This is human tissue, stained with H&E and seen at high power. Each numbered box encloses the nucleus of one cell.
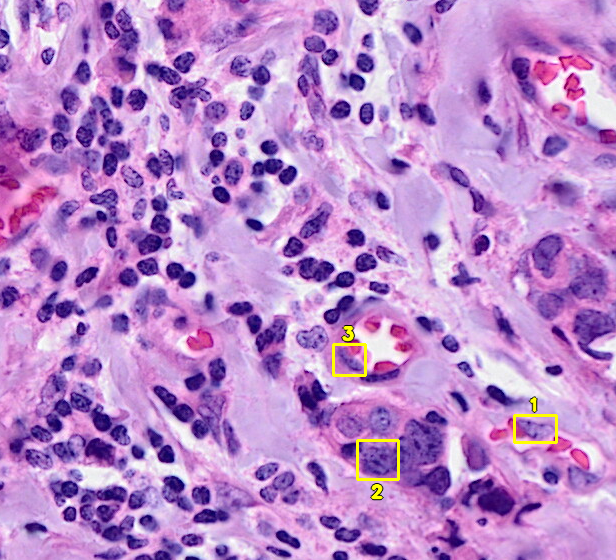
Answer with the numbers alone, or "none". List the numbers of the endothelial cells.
1, 3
